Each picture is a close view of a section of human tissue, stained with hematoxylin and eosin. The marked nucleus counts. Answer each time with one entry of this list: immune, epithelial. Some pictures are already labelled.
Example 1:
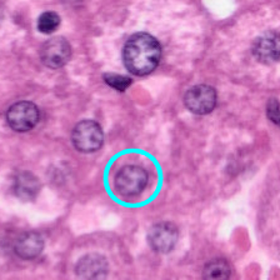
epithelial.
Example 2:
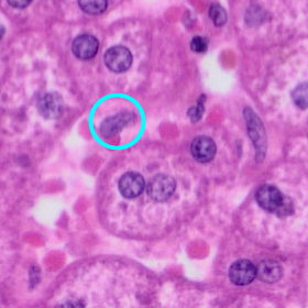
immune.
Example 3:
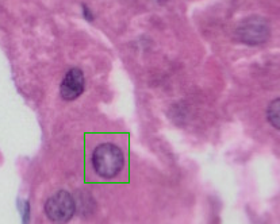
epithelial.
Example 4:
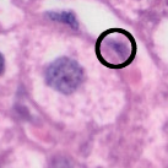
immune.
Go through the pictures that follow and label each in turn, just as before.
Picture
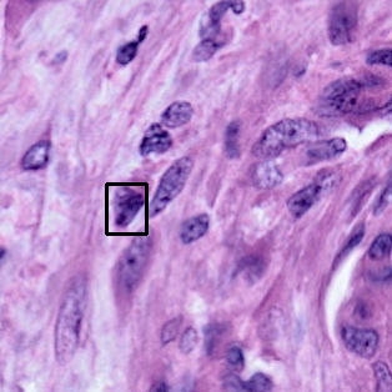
immune.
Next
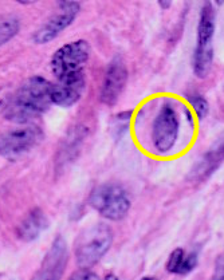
immune.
